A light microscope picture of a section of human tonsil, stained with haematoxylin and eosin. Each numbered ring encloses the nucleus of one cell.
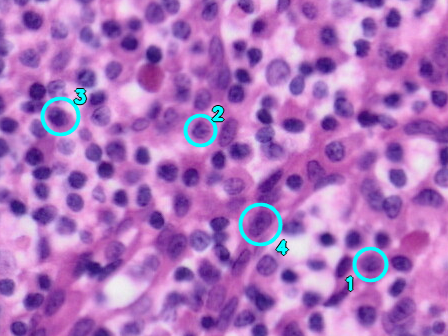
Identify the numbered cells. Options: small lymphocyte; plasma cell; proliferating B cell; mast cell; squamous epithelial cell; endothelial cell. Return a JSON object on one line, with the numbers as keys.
{"1": "plasma cell", "2": "plasma cell", "3": "plasma cell", "4": "squamous epithelial cell"}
